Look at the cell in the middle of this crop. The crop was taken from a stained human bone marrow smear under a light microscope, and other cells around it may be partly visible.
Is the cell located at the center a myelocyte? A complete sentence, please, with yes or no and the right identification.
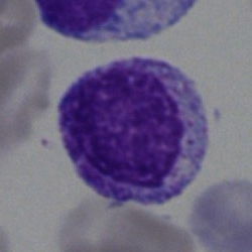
Yes, the middle cell here is a myelocyte.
